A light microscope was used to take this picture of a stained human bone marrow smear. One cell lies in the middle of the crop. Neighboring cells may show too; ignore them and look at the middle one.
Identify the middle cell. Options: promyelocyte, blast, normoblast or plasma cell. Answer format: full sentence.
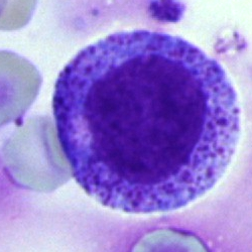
The cell of interest, located centrally, is a promyelocyte.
